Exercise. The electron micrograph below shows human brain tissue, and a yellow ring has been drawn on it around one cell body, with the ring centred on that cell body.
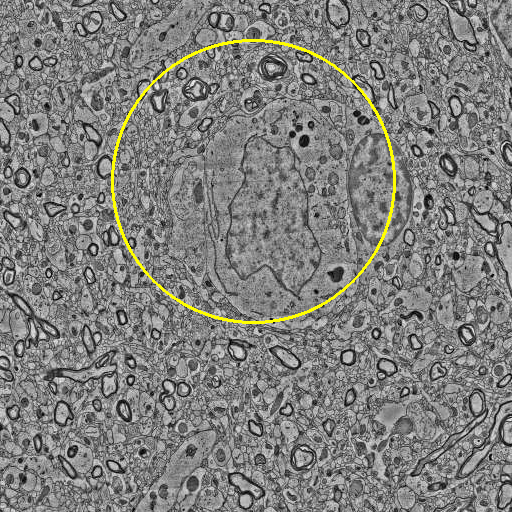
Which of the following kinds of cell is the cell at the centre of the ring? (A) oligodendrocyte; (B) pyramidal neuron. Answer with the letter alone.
B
